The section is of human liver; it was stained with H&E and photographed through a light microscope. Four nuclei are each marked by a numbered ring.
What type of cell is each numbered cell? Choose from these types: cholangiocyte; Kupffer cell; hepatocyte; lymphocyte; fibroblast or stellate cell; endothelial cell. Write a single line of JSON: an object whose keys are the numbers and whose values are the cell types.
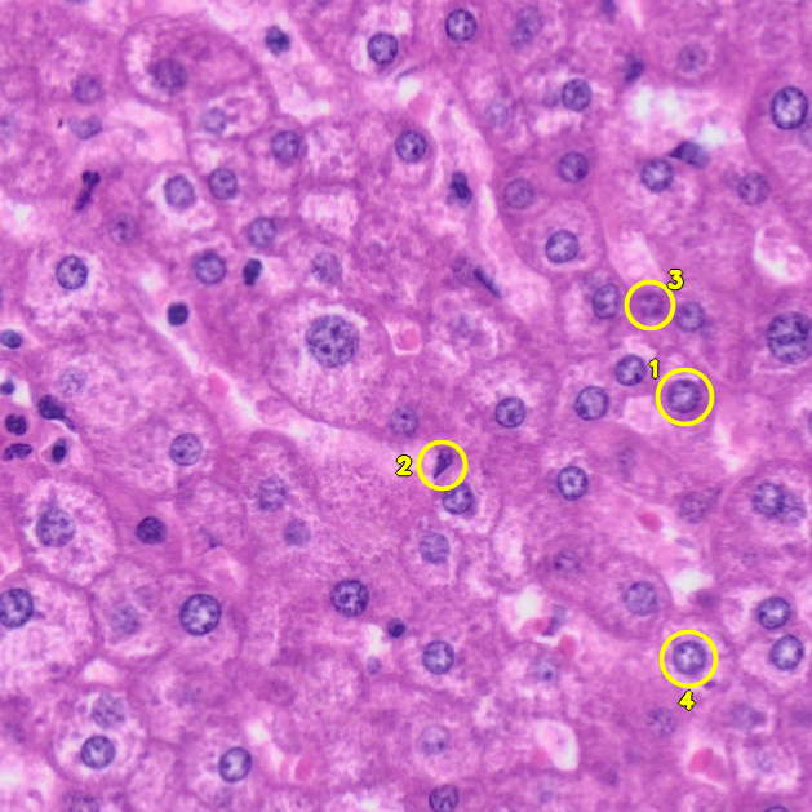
{"1": "hepatocyte", "2": "endothelial cell", "3": "hepatocyte", "4": "hepatocyte"}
